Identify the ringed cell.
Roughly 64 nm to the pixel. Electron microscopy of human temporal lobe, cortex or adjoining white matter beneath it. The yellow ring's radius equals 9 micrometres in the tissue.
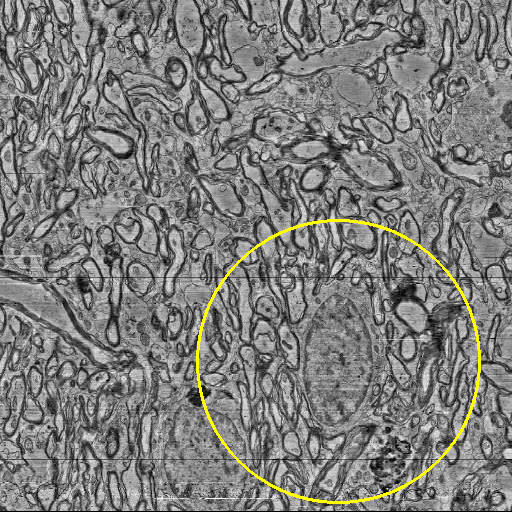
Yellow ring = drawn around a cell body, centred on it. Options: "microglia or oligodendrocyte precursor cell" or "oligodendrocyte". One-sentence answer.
What the ring is centred on is an oligodendrocyte.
